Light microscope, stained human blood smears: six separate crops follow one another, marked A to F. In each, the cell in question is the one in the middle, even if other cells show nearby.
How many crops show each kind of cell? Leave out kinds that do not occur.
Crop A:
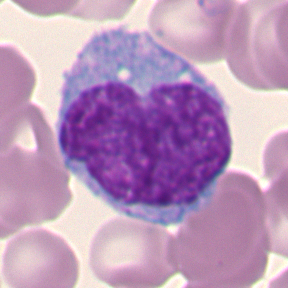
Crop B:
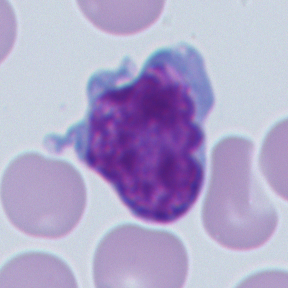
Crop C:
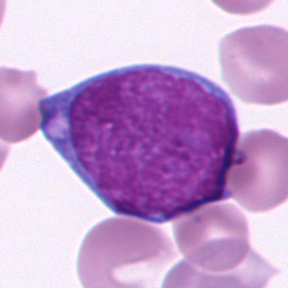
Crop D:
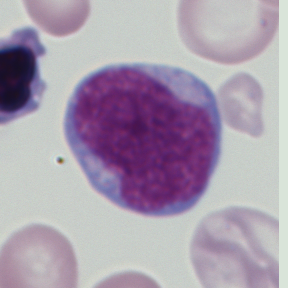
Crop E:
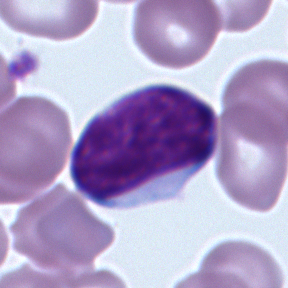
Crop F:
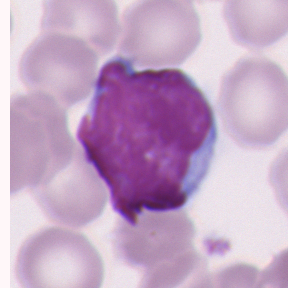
myeloblast: 3
typical lymphocyte: 2
monocyte: 1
